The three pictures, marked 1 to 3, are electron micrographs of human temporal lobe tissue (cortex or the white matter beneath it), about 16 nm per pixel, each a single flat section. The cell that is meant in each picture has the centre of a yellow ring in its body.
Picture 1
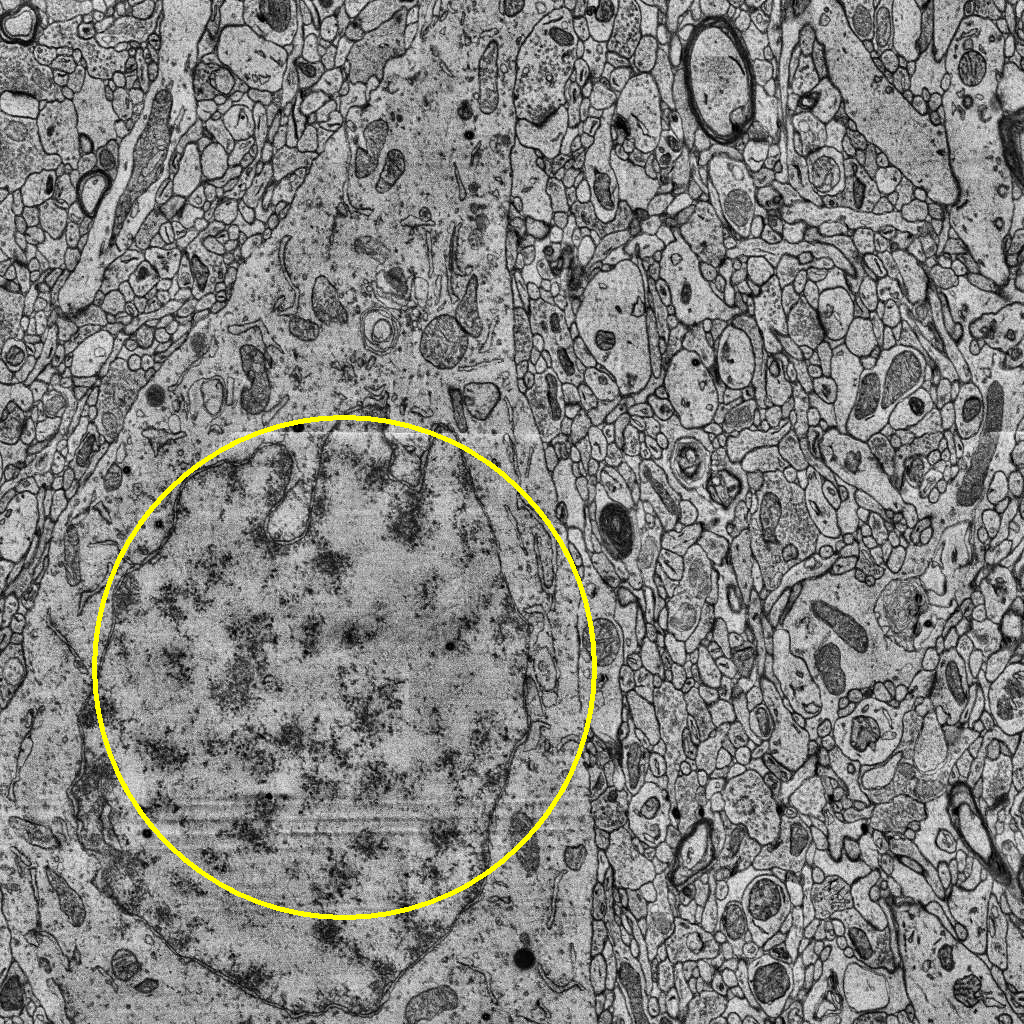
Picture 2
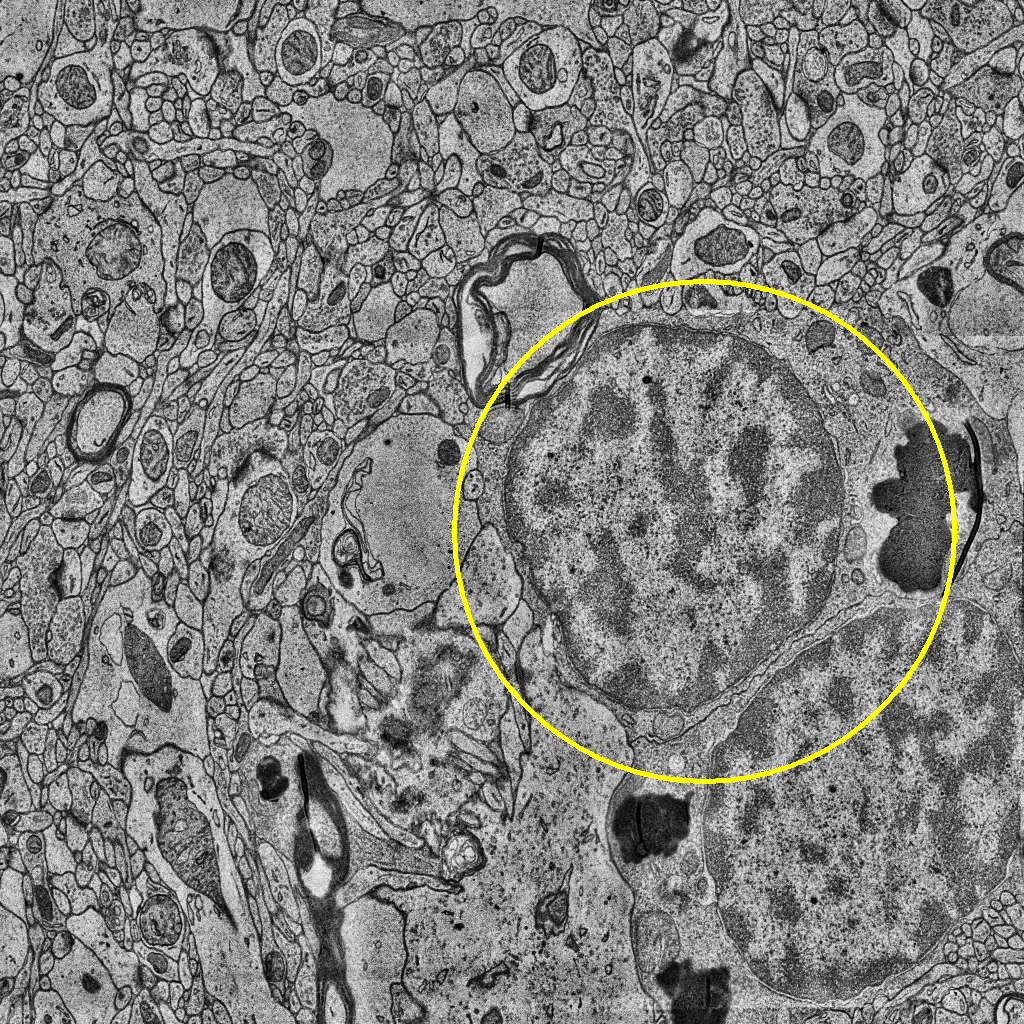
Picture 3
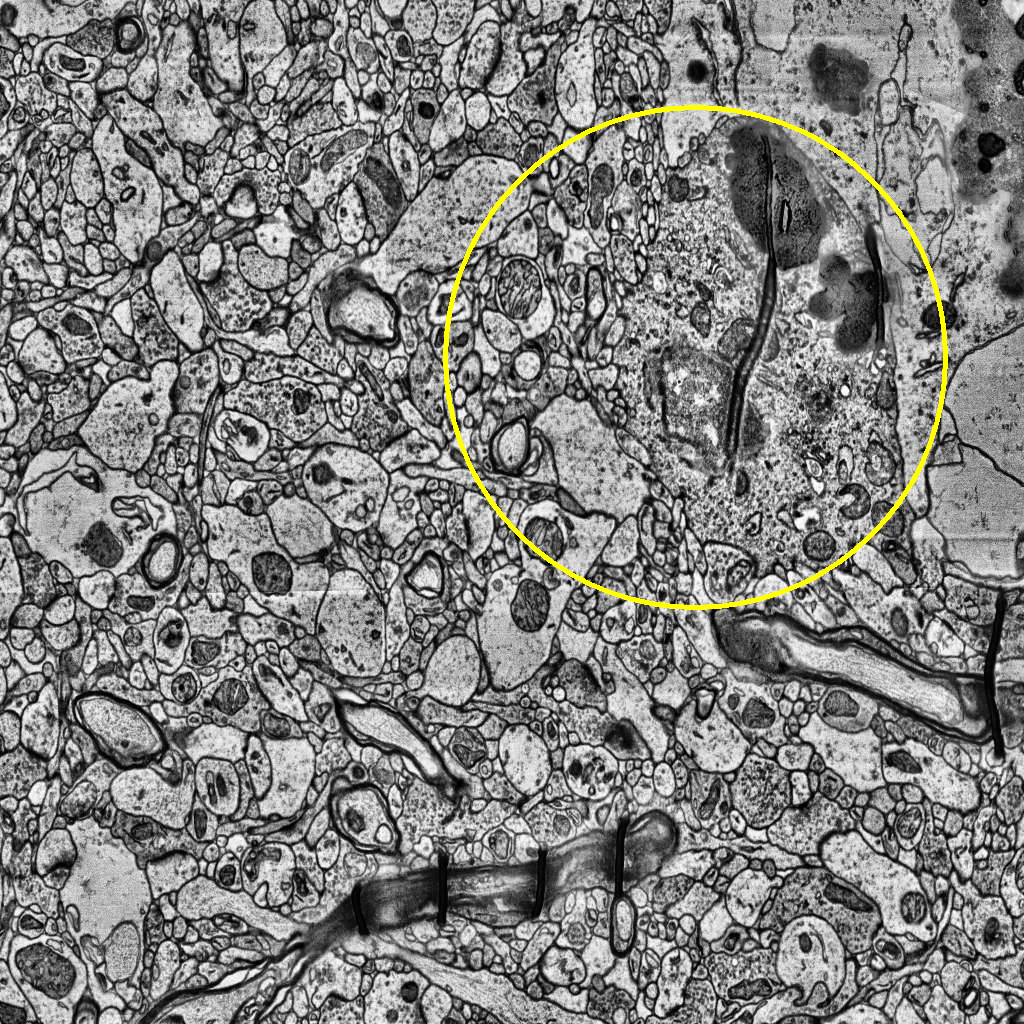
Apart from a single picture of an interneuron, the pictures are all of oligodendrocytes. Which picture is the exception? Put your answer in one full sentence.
Picture 1 is the one that shows the interneuron.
